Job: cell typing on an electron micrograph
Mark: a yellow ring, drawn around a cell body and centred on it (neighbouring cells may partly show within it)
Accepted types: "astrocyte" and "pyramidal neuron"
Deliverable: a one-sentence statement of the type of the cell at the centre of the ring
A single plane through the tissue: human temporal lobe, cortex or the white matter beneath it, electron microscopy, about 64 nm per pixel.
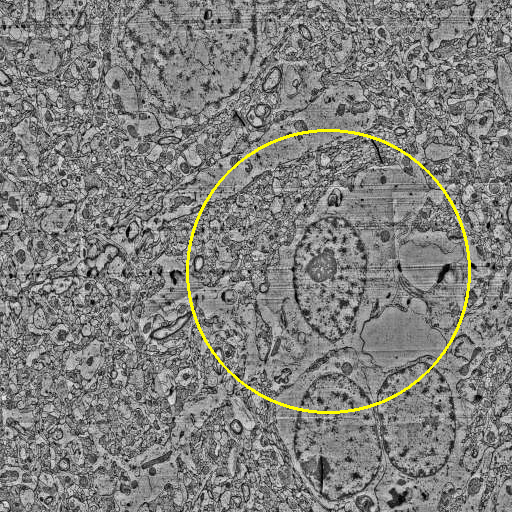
The centred cell body is that of an astrocyte.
